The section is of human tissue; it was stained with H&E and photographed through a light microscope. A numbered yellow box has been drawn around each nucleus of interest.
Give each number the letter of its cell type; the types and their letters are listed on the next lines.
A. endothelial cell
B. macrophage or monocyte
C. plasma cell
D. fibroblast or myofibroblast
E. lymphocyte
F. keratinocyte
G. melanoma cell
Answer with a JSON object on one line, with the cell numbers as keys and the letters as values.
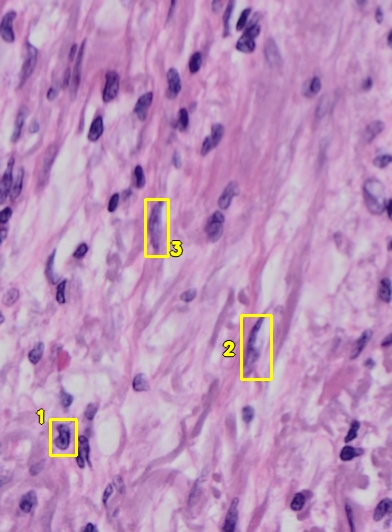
{"1": "E", "2": "D", "3": "D"}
